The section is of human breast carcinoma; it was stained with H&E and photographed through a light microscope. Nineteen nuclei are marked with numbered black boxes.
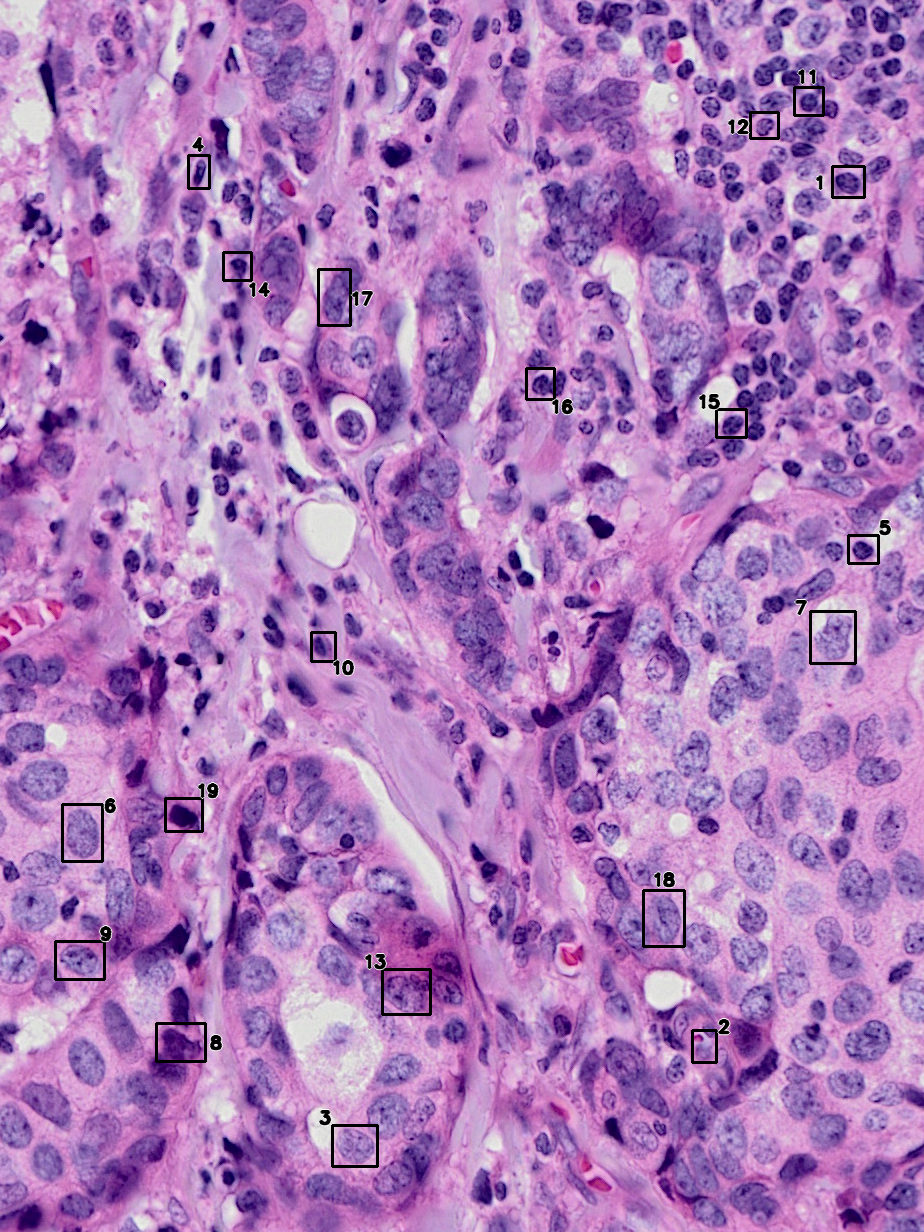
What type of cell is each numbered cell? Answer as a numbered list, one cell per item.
1. lymphocyte
2. endothelial cell
3. carcinoma cell
4. lymphocyte
5. lymphocyte
6. carcinoma cell
7. carcinoma cell
8. carcinoma cell
9. carcinoma cell
10. lymphocyte
11. lymphocyte
12. lymphocyte
13. carcinoma cell
14. lymphocyte
15. lymphocyte
16. lymphocyte
17. carcinoma cell
18. carcinoma cell
19. carcinoma cell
